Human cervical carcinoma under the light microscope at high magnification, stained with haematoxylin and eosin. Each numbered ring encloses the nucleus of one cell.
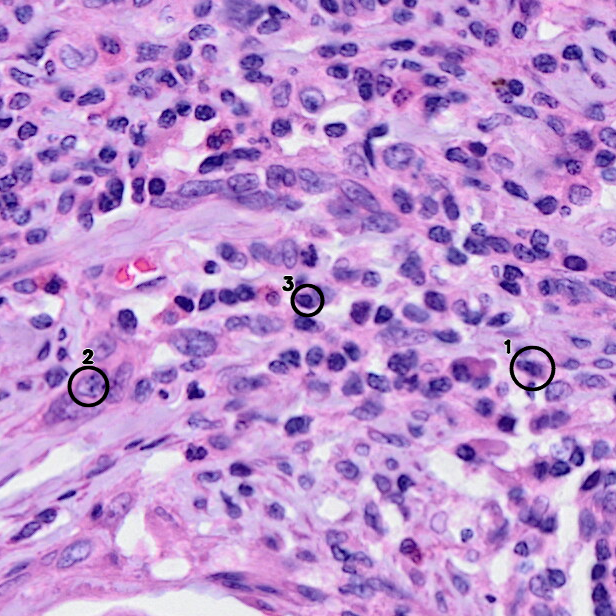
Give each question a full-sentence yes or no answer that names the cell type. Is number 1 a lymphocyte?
Yes, the cell identified as number 1 is a lymphocyte.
